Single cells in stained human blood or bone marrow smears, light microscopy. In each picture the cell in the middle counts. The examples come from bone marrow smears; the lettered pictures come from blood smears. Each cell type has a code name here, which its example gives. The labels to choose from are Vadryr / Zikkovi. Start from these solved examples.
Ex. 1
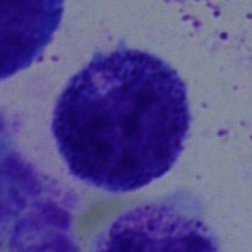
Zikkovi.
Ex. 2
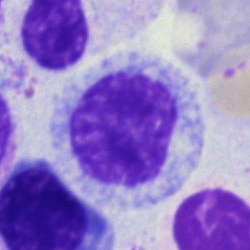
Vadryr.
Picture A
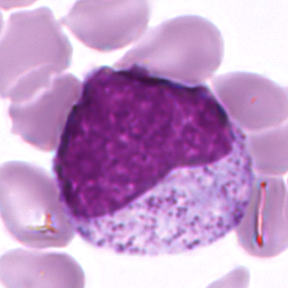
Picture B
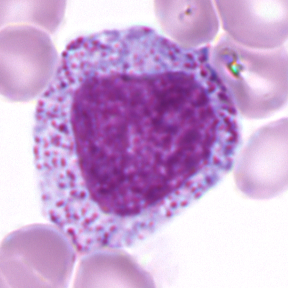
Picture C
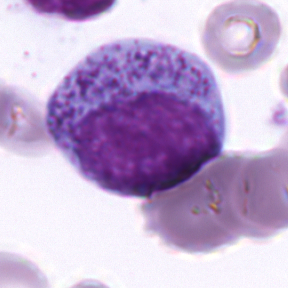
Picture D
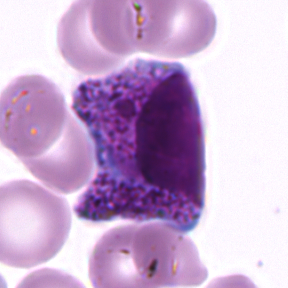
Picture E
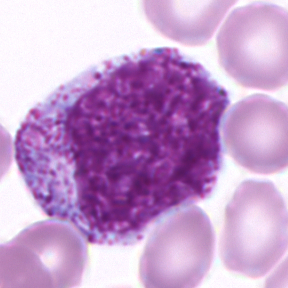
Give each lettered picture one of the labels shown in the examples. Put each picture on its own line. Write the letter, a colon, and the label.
A: Vadryr.
B: Vadryr.
C: Vadryr.
D: Zikkovi.
E: Vadryr.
